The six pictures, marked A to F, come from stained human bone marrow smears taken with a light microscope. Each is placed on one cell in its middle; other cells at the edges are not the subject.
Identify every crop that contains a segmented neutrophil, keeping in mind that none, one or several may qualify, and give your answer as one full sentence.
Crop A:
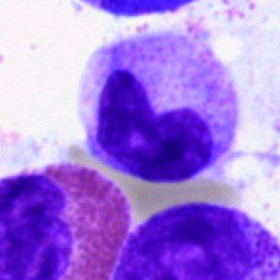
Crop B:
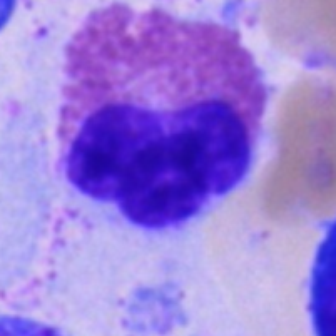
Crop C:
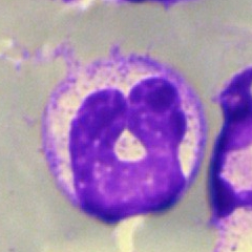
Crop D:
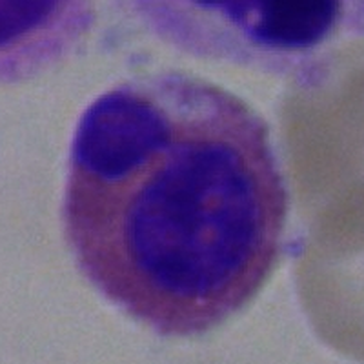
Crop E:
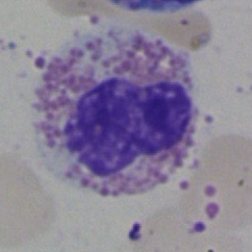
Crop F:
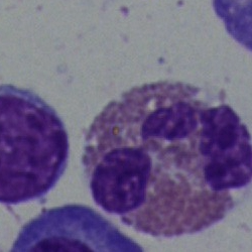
The center cell of every crop is something other than a segmented neutrophil.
